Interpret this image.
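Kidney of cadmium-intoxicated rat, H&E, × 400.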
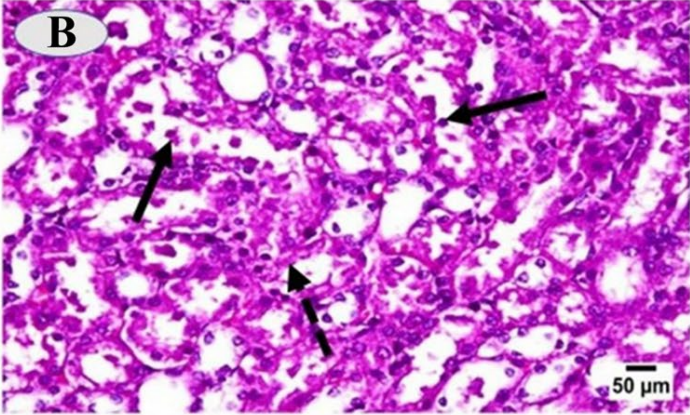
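Renal tubules lined by damaged epithelium, no glomerulus in view. Some cells show small, dark, condensed nuclei; others have lost their nuclei. Many cells lie detached and free within the lumina, which are irregular and partly filled with cell debris. Interstitium between tubules is scant.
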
